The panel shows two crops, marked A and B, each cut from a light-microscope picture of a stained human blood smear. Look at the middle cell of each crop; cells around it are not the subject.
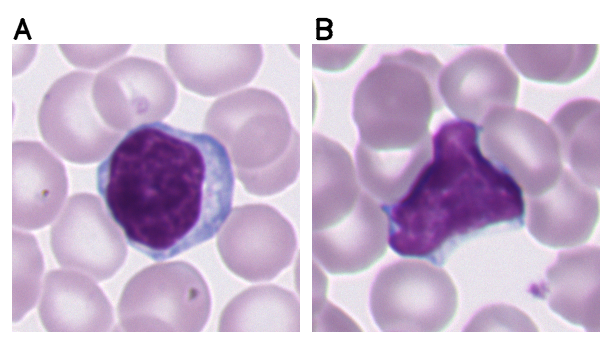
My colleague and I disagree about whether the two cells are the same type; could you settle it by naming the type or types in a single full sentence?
Yes, both crops show typical lymphocytes, the one and the other.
